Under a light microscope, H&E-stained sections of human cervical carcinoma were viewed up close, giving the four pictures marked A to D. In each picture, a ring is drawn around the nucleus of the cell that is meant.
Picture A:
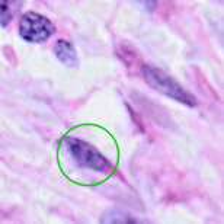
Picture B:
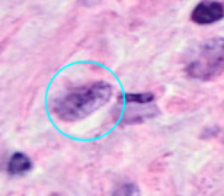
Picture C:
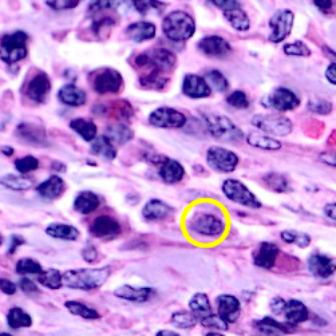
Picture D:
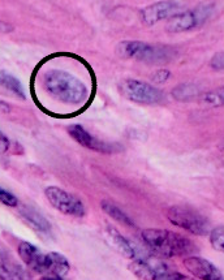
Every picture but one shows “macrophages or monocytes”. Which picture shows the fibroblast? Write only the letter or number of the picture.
A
